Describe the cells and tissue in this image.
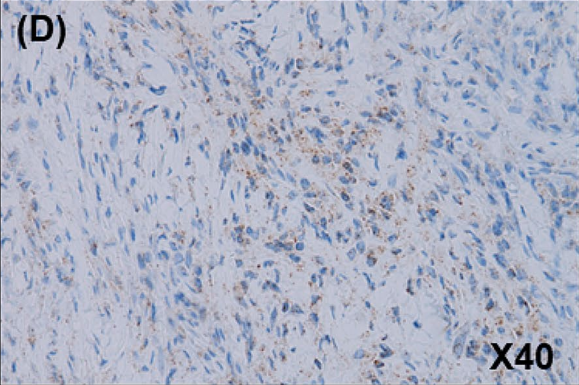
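The nuclei are elongated to oval and arranged in loose streams across the field. A faint, fine granular brown deposit lies in the cytoplasm of some of the cells, most evident in the centre and lower right, while other cells show no brown colour at all. The intervening matrix is pale grey-blue and largely unstained. No strong, diffuse brown staining is seen anywhere in the field.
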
